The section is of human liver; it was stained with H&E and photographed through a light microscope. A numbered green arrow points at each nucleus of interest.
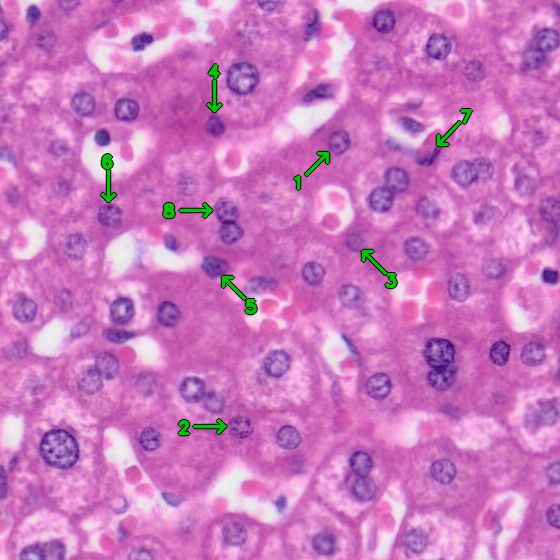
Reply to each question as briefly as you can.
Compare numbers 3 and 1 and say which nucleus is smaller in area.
3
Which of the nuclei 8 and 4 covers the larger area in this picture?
8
